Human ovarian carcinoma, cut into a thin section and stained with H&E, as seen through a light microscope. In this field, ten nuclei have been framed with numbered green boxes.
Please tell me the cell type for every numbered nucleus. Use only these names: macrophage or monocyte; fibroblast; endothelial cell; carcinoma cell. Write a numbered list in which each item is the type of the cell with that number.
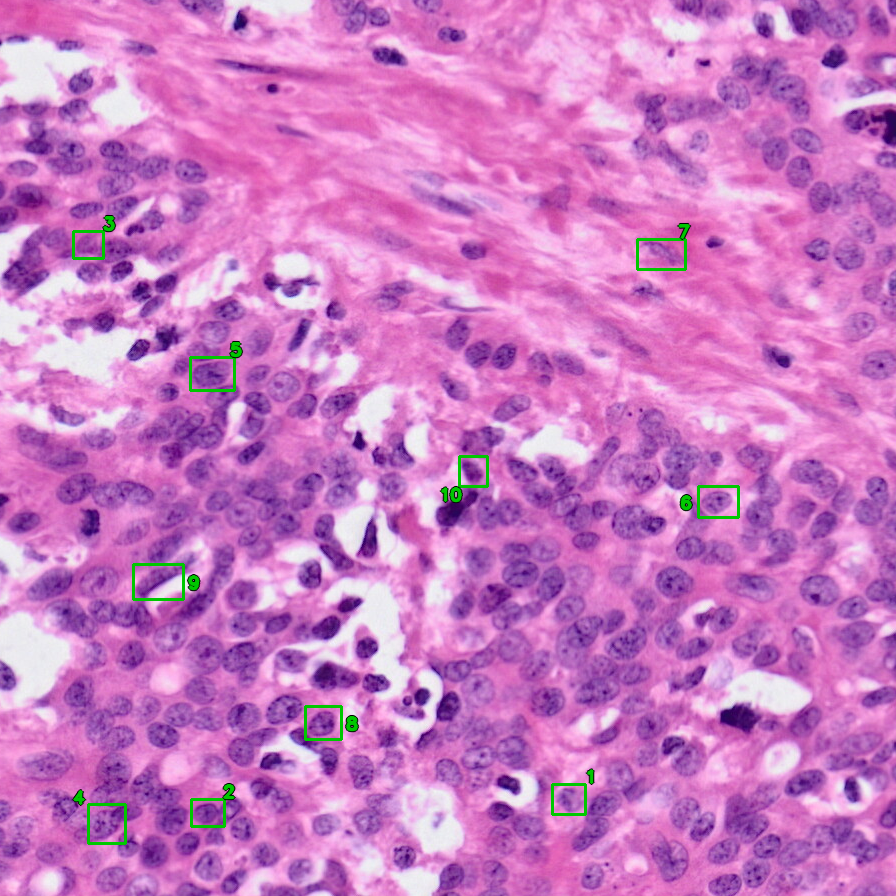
1. macrophage or monocyte
2. carcinoma cell
3. carcinoma cell
4. carcinoma cell
5. carcinoma cell
6. macrophage or monocyte
7. fibroblast
8. macrophage or monocyte
9. carcinoma cell
10. carcinoma cell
